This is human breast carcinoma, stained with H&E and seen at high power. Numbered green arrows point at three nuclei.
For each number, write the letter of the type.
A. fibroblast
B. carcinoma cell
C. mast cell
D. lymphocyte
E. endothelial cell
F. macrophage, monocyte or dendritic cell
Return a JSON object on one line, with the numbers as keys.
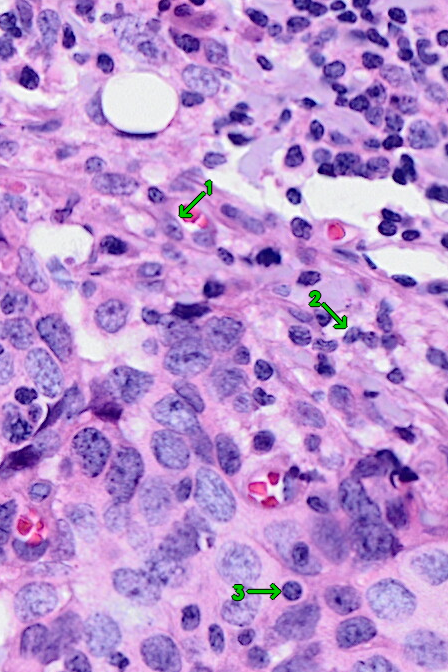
{"1": "E", "2": "D", "3": "D"}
